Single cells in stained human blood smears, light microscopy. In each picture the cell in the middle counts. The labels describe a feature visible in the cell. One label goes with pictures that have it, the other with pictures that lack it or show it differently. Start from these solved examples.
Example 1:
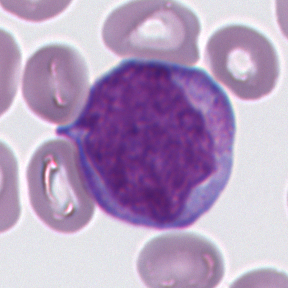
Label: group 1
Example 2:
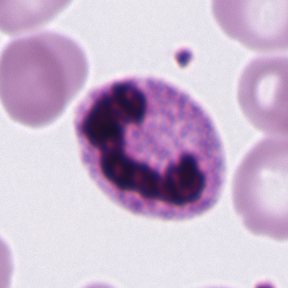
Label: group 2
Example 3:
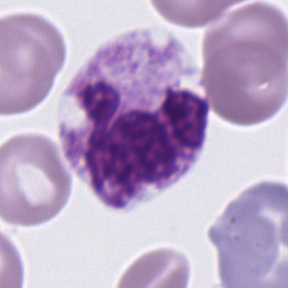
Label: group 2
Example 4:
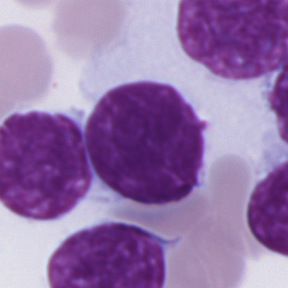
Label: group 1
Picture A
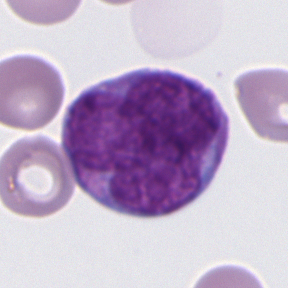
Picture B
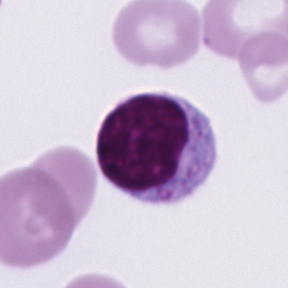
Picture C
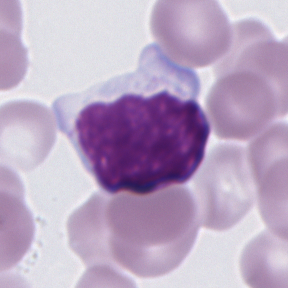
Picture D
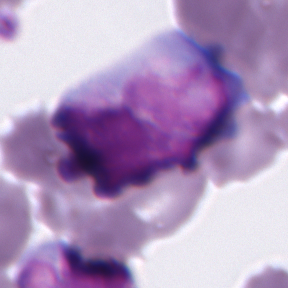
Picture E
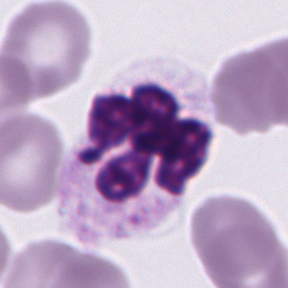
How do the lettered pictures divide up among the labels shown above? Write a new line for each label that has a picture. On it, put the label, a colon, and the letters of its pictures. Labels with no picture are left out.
group 1: C, D
group 2: A, B, E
